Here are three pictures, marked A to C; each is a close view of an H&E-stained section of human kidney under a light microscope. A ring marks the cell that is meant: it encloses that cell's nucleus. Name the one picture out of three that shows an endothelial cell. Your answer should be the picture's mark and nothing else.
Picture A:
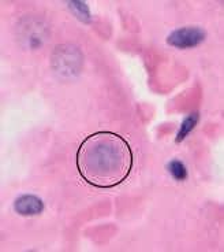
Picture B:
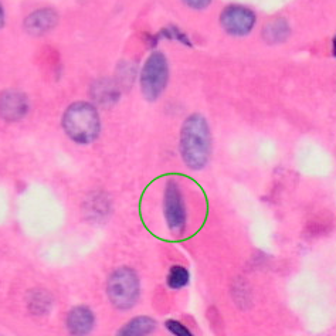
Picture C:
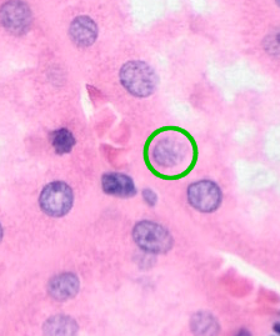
B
